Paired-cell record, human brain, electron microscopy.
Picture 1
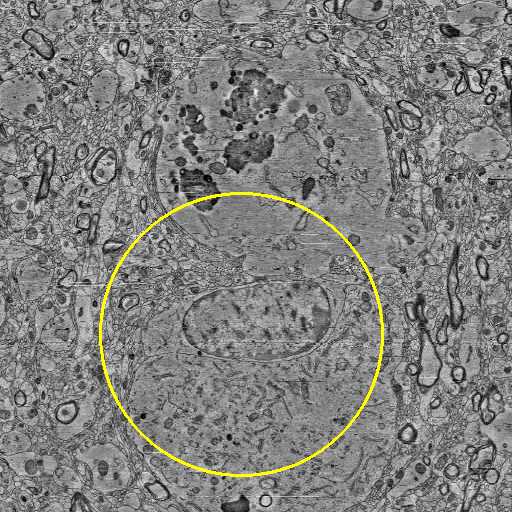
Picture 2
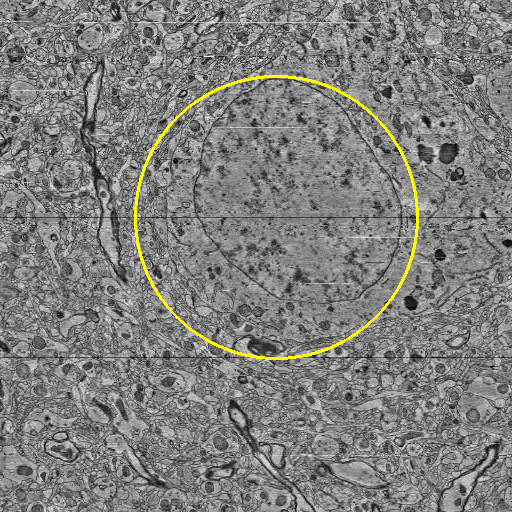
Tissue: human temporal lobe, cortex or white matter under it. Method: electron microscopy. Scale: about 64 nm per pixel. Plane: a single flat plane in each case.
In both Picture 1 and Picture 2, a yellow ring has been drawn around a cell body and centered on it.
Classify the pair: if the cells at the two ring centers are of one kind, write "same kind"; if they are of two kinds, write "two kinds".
two kinds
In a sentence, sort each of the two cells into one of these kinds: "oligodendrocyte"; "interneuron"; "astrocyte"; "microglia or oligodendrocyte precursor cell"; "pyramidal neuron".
The first of the two cells is a microglial cell or oligodendrocyte precursor cell, and the second is a pyramidal neuron.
